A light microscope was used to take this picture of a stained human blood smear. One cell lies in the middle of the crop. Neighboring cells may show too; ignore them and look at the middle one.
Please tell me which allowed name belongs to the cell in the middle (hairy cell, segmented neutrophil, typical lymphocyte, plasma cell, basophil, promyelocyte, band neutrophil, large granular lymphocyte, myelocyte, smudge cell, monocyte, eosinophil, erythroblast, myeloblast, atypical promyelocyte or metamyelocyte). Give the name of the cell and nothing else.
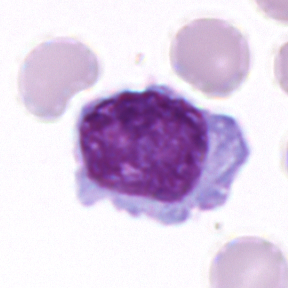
plasma cell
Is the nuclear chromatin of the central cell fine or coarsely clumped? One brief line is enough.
The chromatin within its nucleus forms coarse clumps.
